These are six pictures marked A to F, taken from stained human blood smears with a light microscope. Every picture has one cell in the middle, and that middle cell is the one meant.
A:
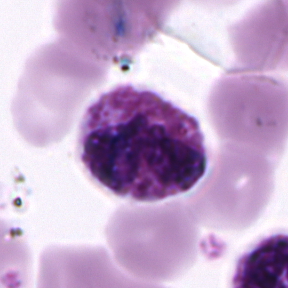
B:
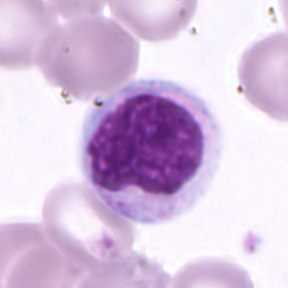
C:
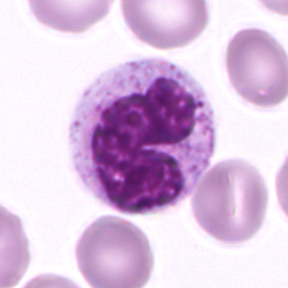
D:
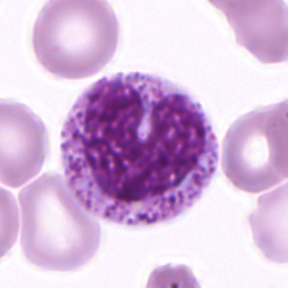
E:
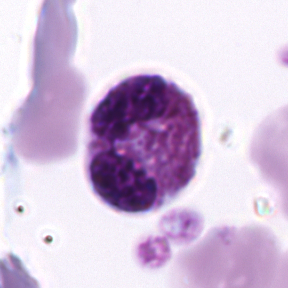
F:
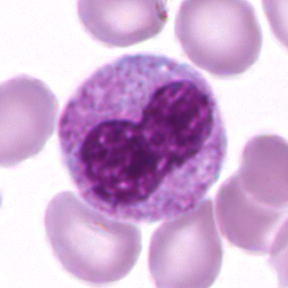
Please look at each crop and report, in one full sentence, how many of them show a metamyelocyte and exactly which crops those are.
One crop alone shows a metamyelocyte, and that is the crop marked B.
